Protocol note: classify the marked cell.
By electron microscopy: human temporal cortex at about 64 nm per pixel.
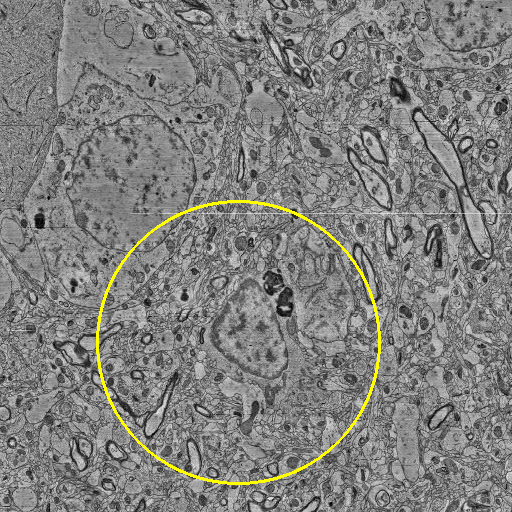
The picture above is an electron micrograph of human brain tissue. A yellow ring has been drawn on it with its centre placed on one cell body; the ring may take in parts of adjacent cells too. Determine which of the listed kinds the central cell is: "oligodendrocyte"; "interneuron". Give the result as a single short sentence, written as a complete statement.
The central cell is an oligodendrocyte.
